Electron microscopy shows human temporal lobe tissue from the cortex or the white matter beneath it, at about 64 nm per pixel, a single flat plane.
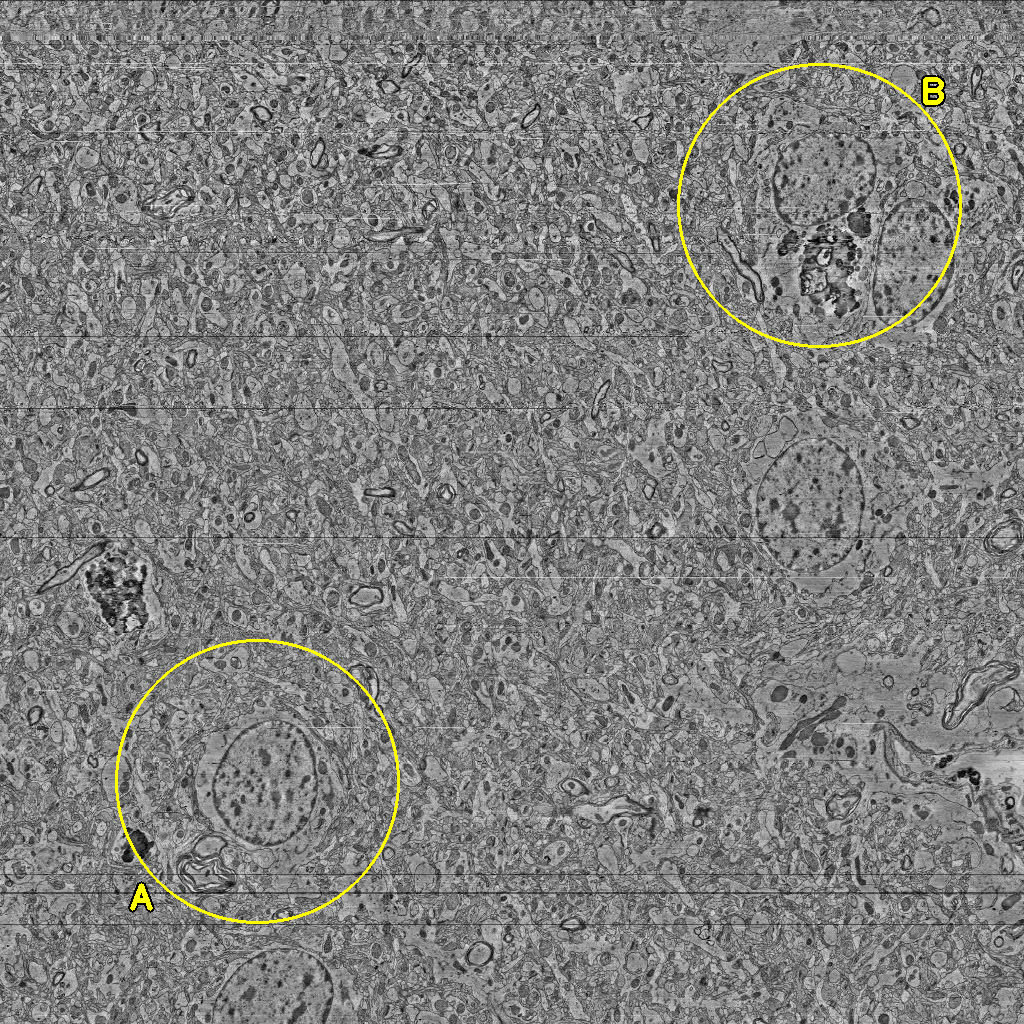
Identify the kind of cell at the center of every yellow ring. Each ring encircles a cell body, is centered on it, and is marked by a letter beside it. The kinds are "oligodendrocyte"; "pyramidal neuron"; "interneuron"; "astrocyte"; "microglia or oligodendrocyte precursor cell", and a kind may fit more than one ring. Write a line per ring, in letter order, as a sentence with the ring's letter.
The cell centered in ring A is an astrocyte.
The cell centered in ring B is an astrocyte.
